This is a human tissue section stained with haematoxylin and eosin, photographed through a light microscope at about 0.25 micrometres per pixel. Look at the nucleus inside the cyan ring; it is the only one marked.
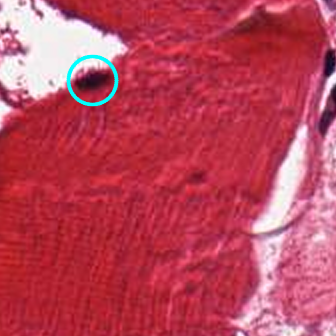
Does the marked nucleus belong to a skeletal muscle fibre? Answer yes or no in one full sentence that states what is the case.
Yes, the nucleus pointed to by the marking is that of a skeletal muscle fibre.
